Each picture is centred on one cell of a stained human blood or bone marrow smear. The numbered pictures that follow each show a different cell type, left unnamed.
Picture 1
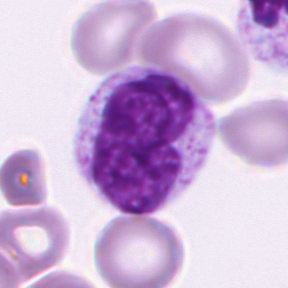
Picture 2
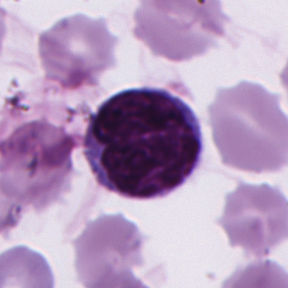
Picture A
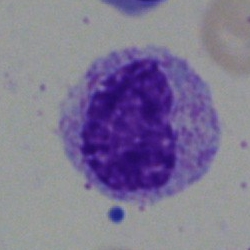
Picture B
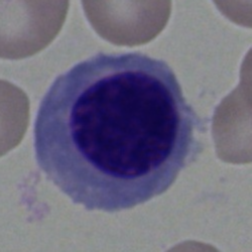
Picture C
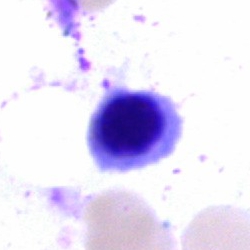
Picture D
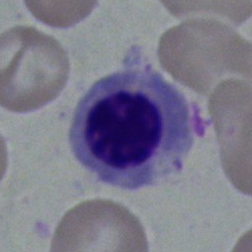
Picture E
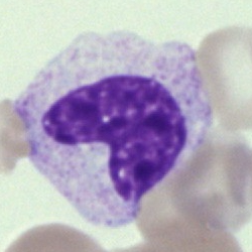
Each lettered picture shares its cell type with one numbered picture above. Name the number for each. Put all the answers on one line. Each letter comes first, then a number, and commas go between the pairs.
A 1, B 2, C 2, D 2, E 1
